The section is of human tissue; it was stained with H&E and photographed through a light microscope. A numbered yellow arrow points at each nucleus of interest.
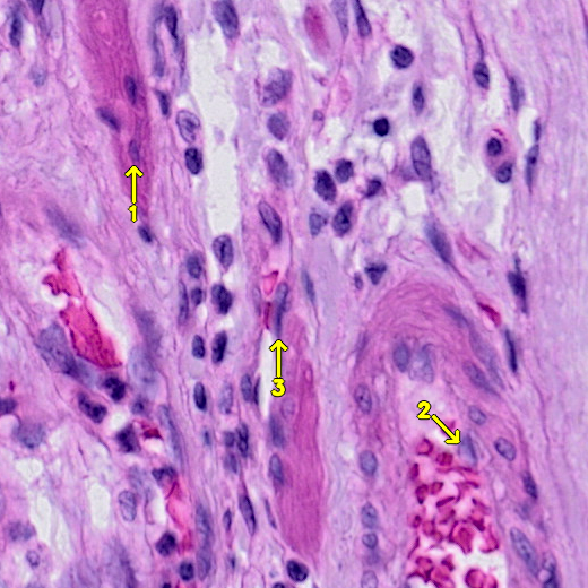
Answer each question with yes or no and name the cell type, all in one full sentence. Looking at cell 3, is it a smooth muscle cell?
No, the cell given number 3 is an endothelial cell, not a smooth muscle cell.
